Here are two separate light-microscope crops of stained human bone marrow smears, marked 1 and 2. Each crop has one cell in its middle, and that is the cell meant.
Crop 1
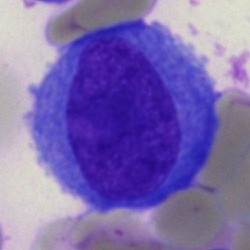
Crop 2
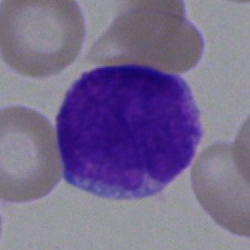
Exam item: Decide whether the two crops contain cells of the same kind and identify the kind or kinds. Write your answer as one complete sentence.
Yes, what both crops show at their centres are blasts.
